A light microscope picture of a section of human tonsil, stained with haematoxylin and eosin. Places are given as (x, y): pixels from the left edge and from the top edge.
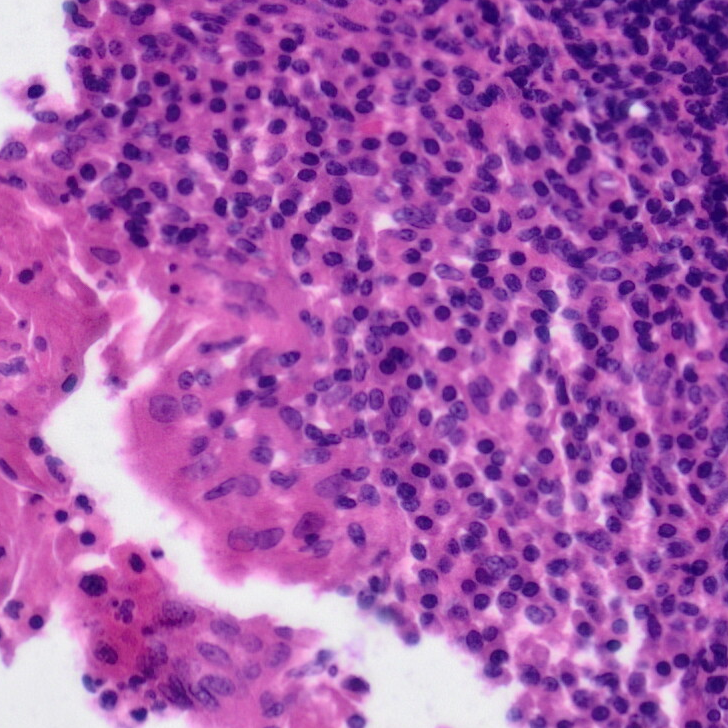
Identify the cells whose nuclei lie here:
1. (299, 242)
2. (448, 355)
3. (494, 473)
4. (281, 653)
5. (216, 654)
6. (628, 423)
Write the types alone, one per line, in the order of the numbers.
plasma cell
plasma cell
plasma cell
squamous epithelial cell
squamous epithelial cell
plasma cell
